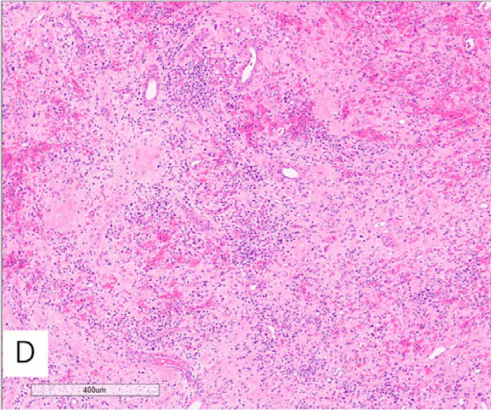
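This is the interior of a fibrotic, organizing lesion at medium power. The background is a loose pink fibrous stroma containing scattered spindle-shaped and rounded cells. Dense clusters of small cells with dark round nuclei, consistent with inflammatory cells, form bands and patches across the field. Areas of bright red extravasated red blood cells are scattered through the stroma, especially towards the top. Several small vascular lumina are seen as clear round or oval spaces.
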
